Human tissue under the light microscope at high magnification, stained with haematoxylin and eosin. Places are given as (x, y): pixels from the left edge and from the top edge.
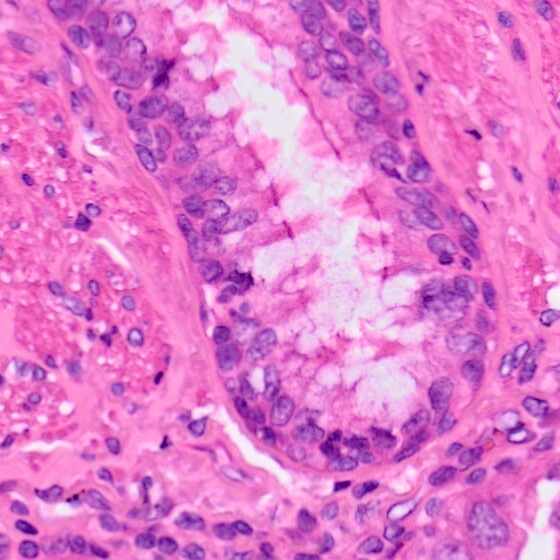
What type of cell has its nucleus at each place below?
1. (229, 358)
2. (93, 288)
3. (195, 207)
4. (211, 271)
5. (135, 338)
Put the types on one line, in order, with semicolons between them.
ciliated epithelial cell; smooth muscle cell or pericyte; ciliated epithelial cell; ciliated epithelial cell; smooth muscle cell or pericyte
